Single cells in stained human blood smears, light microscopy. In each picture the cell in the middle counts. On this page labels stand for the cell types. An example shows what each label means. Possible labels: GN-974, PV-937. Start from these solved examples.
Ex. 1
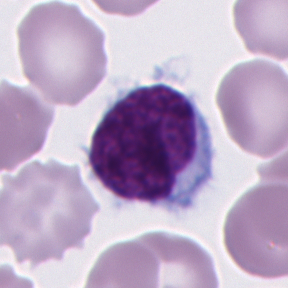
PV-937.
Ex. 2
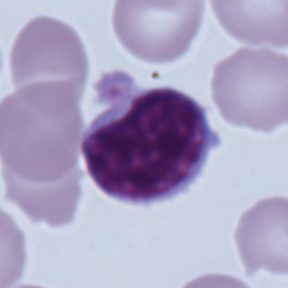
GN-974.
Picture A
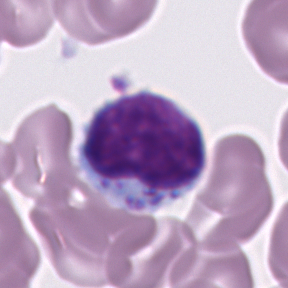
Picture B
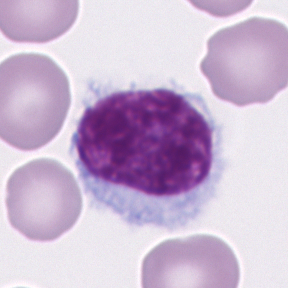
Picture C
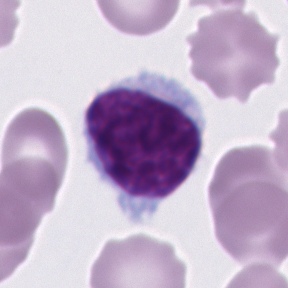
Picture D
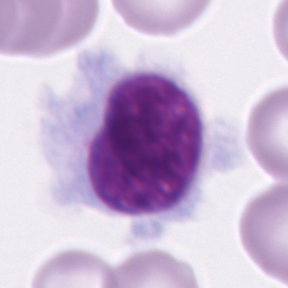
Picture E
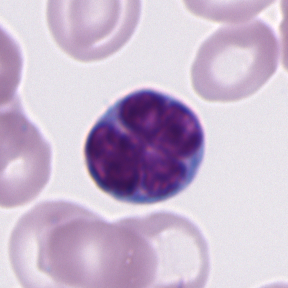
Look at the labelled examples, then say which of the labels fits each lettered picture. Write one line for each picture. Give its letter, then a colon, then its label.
A: GN-974.
B: PV-937.
C: PV-937.
D: PV-937.
E: GN-974.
